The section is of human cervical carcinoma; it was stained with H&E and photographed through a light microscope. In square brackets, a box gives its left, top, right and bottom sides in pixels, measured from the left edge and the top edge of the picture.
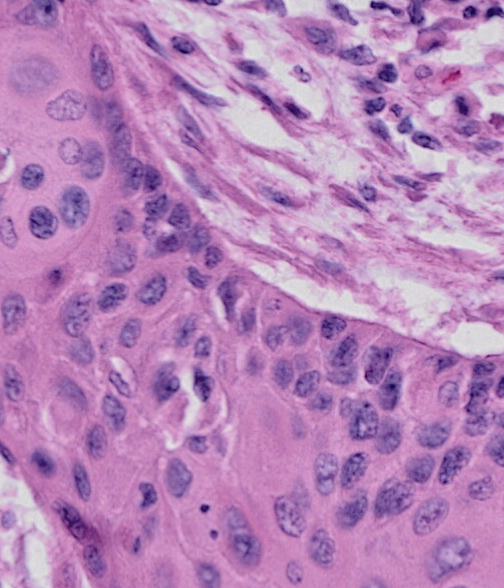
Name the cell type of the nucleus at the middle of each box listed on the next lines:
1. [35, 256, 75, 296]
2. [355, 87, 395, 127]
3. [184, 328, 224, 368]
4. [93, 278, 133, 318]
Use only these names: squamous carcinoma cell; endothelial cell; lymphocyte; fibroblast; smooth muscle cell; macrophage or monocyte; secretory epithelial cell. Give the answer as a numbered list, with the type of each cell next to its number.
1. squamous carcinoma cell
2. lymphocyte
3. squamous carcinoma cell
4. squamous carcinoma cell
